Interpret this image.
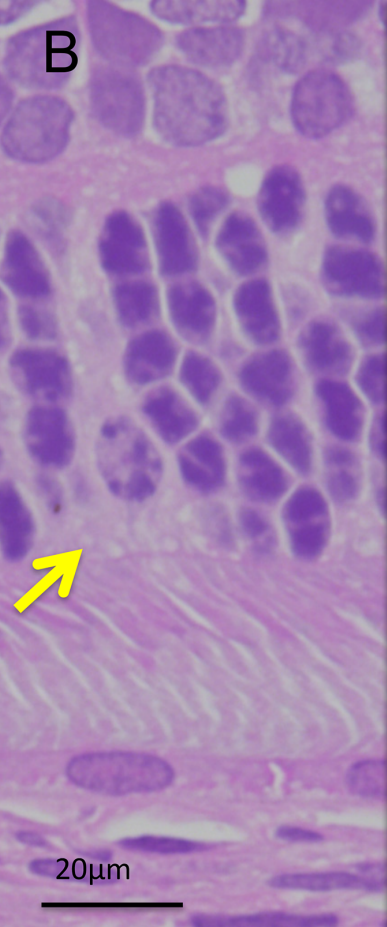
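Outer retina with photoreceptors: at the top lie a few large round nuclei with granular chromatin, then a thin pale pink band, then a thick layer of closely packed, dark purple, oval to polygonal nuclei in columns. Beneath these nuclei runs a band of pink segments with long straight parallel oblique striations, and below that flattened cells and connective tissue with elongated nuclei.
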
